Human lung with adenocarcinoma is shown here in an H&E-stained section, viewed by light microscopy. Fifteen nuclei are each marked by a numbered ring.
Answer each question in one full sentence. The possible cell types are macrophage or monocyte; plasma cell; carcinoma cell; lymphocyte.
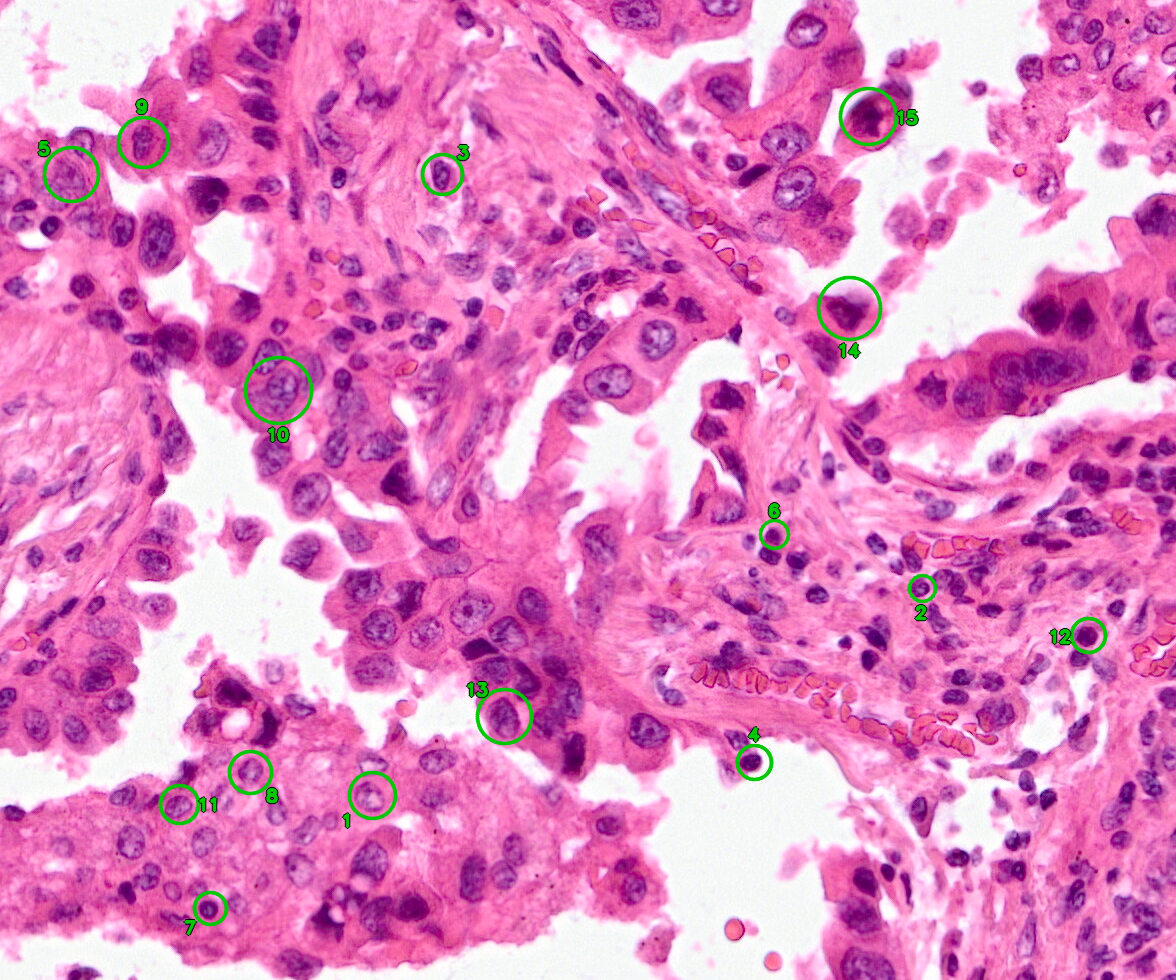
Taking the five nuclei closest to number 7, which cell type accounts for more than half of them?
Of the five nuclei nearest to number 7, most belong to macrophages or monocytes.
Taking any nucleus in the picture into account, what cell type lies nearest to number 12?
The nucleus nearest to number 12 is that of a lymphocyte.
